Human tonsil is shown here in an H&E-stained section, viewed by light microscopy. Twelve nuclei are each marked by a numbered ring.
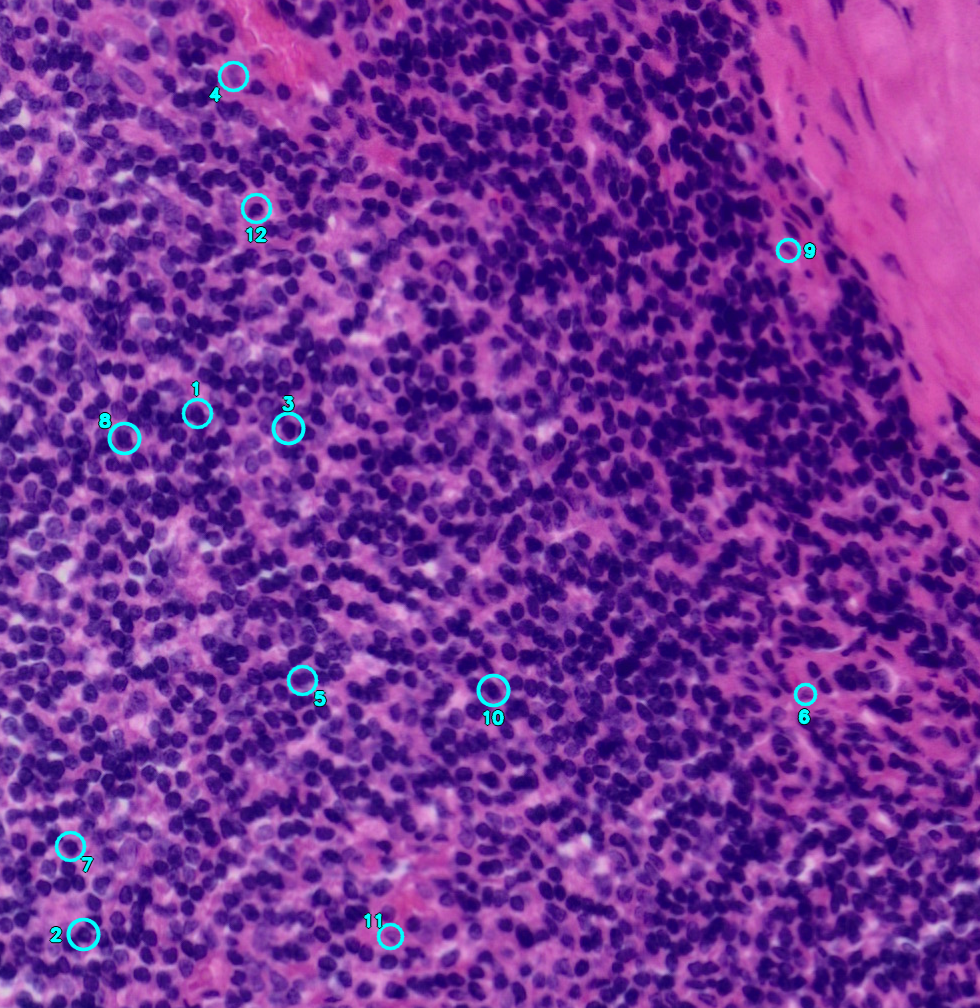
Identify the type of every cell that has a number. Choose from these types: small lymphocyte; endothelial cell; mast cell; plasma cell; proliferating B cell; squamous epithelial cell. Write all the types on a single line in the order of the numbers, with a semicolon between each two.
small lymphocyte; small lymphocyte; small lymphocyte; endothelial cell; small lymphocyte; endothelial cell; small lymphocyte; small lymphocyte; endothelial cell; small lymphocyte; endothelial cell; endothelial cell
